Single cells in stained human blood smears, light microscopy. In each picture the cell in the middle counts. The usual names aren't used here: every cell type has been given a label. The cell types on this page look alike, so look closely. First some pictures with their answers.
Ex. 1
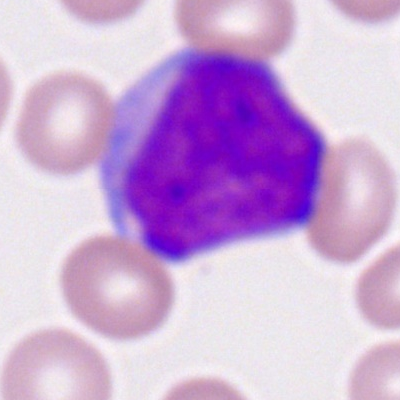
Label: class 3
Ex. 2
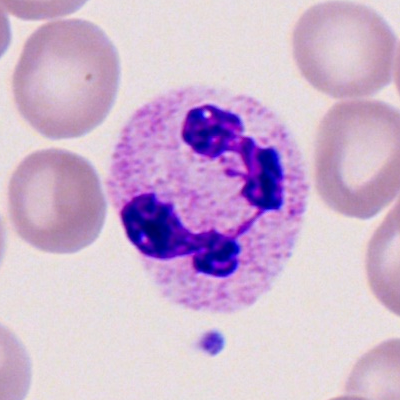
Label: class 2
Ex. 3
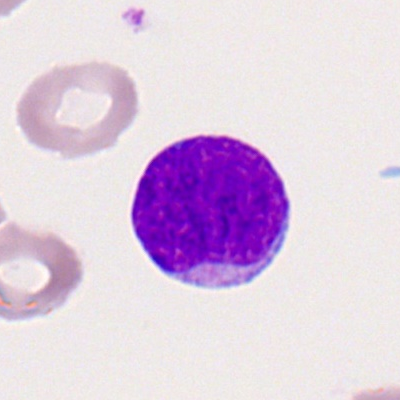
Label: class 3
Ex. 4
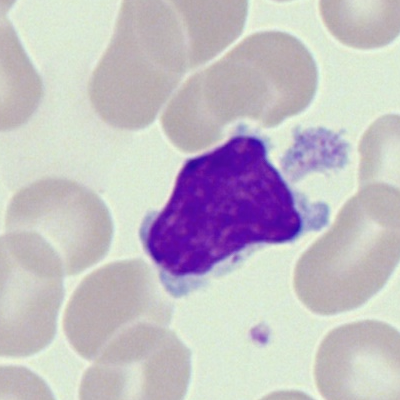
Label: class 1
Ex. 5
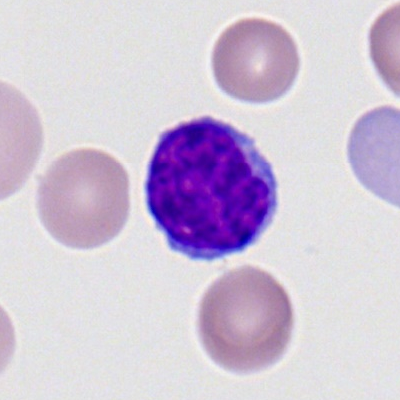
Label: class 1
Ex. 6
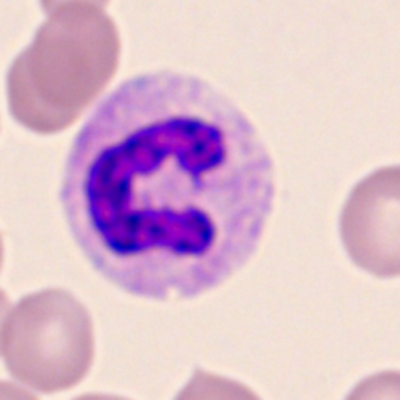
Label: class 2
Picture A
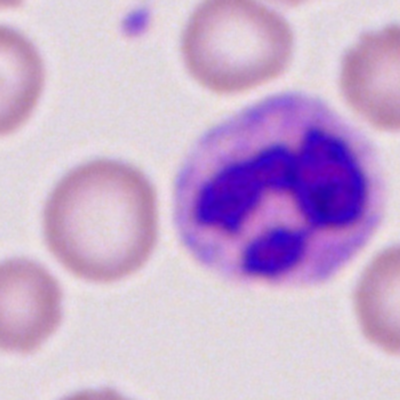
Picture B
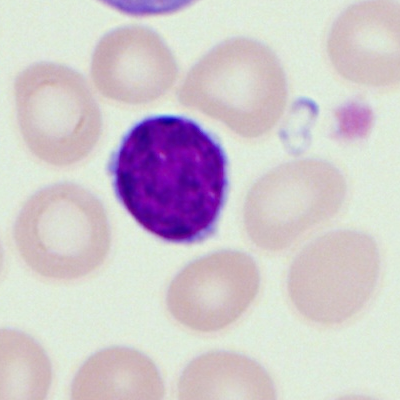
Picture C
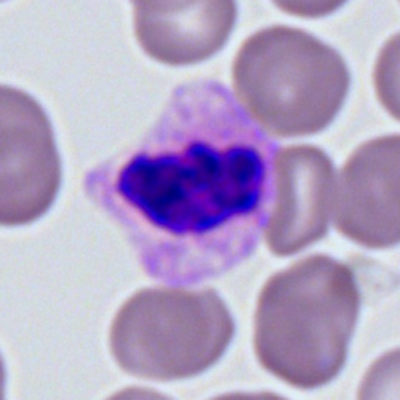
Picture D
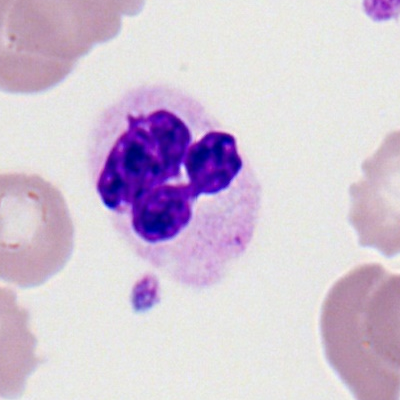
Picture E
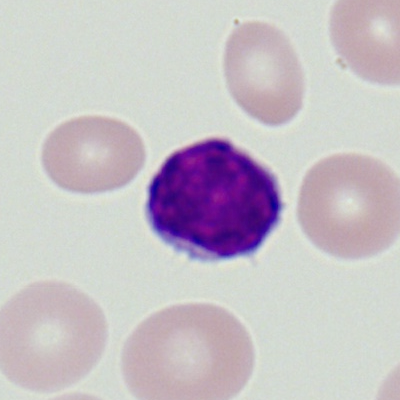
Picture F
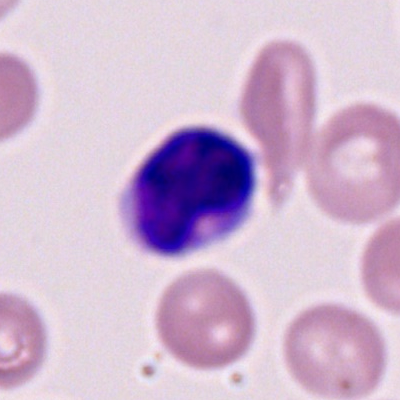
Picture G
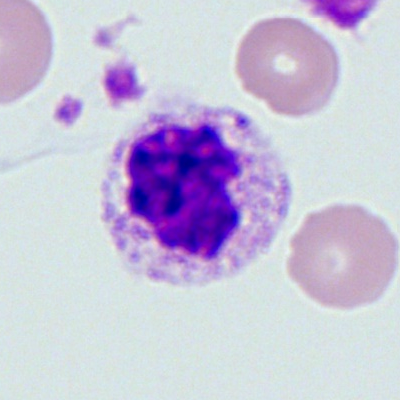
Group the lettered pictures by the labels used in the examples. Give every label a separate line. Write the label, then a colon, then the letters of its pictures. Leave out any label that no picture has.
class 2: A, C, D, G
class 1: B, E, F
